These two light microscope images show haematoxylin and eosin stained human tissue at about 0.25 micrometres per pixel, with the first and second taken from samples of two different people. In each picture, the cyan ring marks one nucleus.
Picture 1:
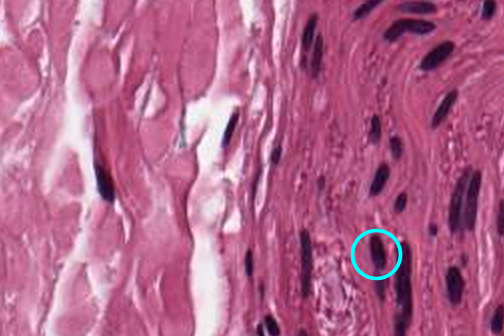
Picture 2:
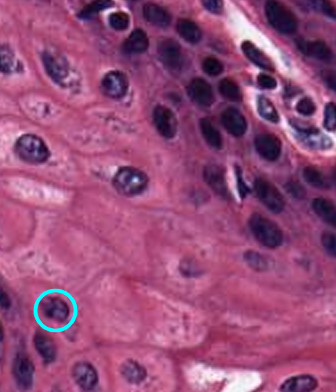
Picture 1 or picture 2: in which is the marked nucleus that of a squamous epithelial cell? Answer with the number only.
2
